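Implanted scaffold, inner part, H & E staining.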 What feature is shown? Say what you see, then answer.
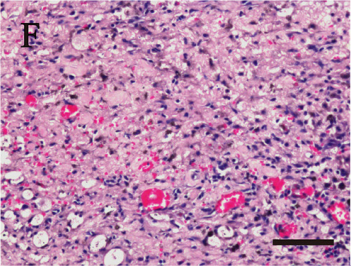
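Tubular structures filling with red blood cells. Scattered small lumens contain clusters of bright red corpuscles. The lumens lie within pink tissue crowded with dark nuclei.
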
